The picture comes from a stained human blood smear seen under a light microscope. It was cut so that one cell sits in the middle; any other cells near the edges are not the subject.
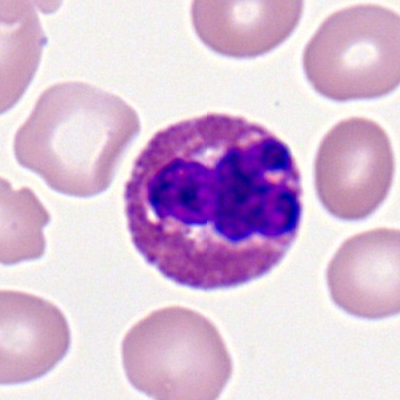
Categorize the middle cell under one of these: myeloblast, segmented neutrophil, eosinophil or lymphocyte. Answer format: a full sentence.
The cell found in the middle of this crop is an eosinophil.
